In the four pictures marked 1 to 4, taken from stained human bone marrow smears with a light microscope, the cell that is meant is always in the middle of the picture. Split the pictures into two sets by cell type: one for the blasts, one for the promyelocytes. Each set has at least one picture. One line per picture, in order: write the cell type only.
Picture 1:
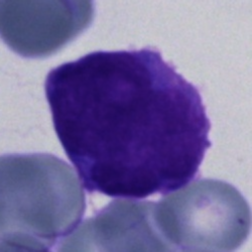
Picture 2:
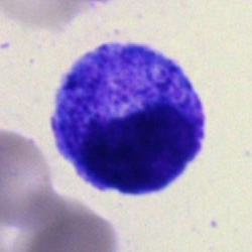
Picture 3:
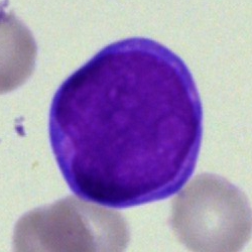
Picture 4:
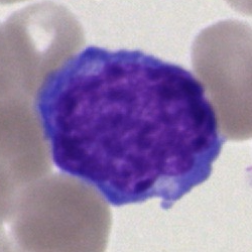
blast
promyelocyte
blast
blast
